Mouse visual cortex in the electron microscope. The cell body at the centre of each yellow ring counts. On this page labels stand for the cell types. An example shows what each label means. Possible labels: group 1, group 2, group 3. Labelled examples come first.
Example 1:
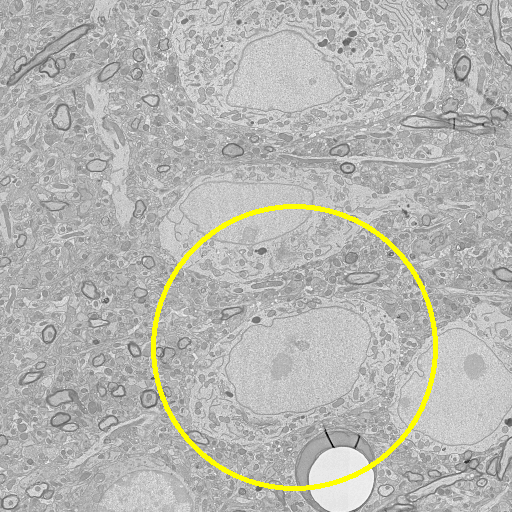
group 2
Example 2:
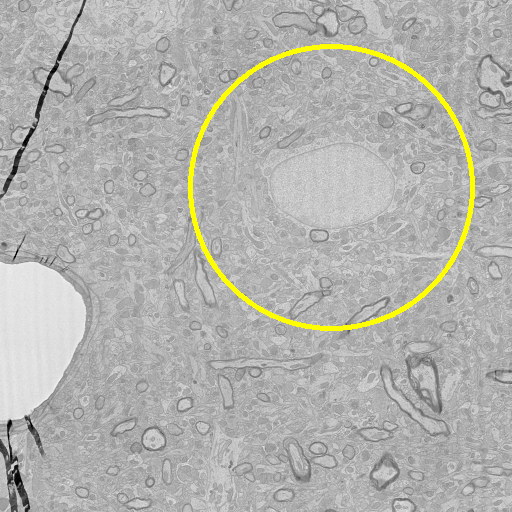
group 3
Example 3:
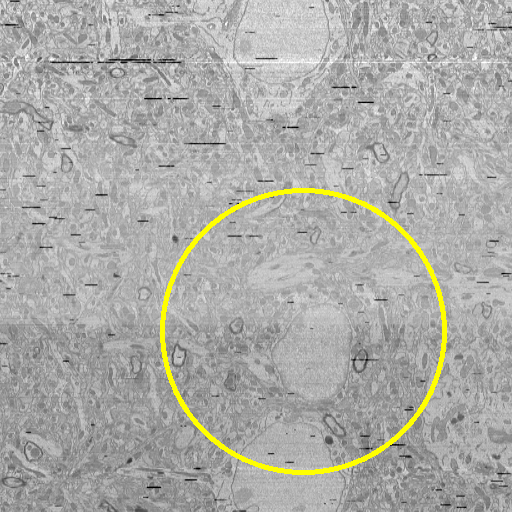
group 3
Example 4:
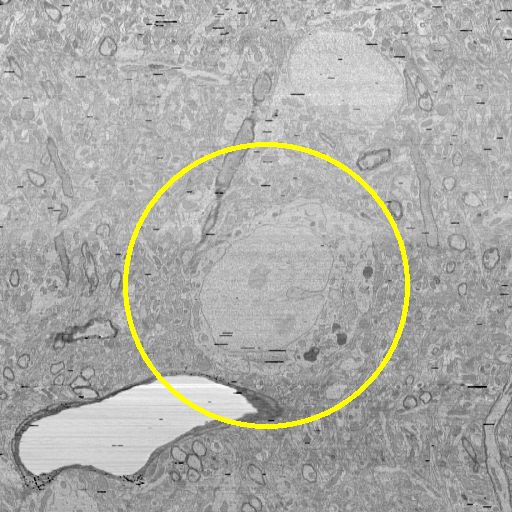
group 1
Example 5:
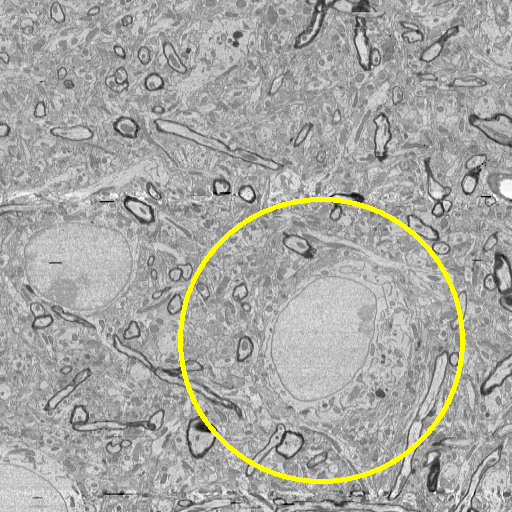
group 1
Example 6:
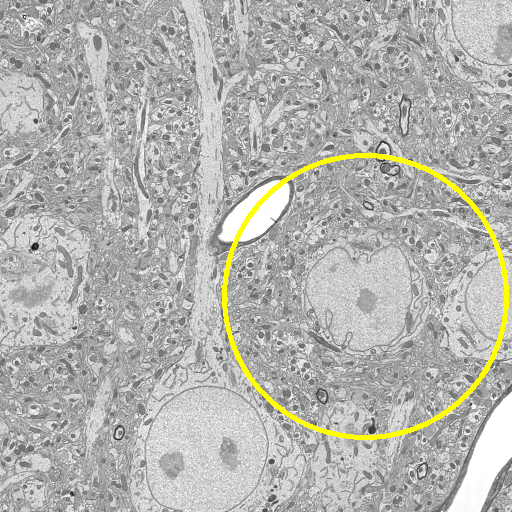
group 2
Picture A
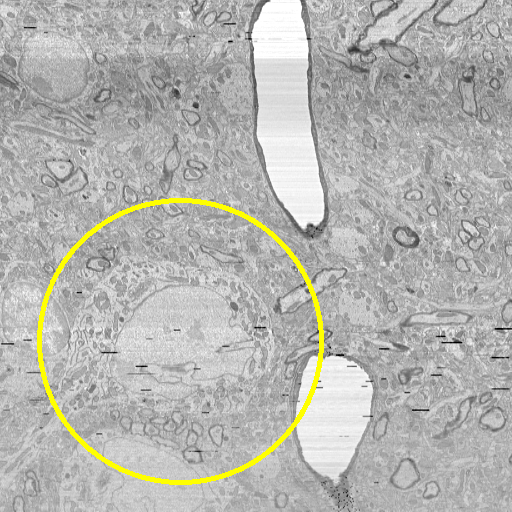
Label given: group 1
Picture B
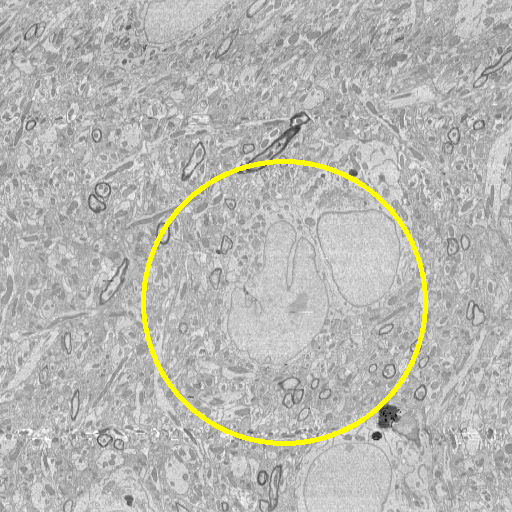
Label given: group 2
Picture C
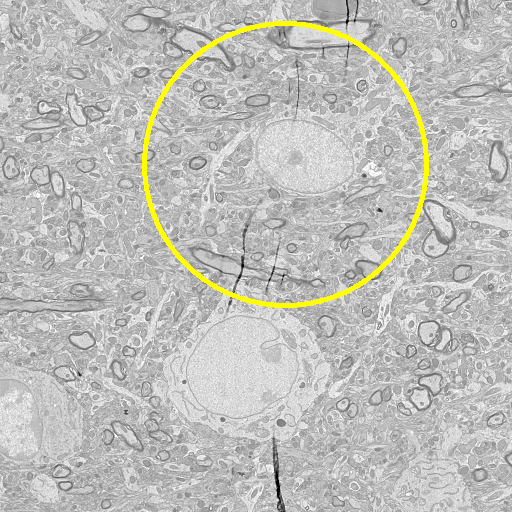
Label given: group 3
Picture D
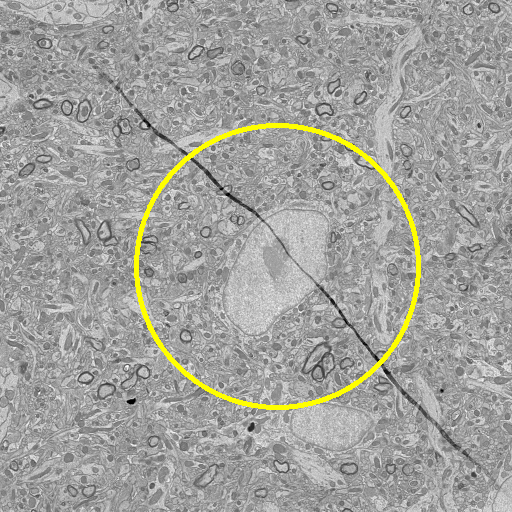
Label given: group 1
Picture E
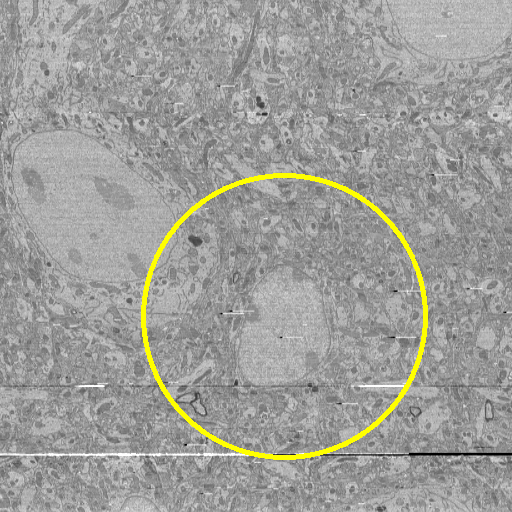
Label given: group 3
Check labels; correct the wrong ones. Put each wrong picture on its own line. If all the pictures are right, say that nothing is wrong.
A is labelled group 1; correct label: group 2
D is labelled group 1; correct label: group 3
